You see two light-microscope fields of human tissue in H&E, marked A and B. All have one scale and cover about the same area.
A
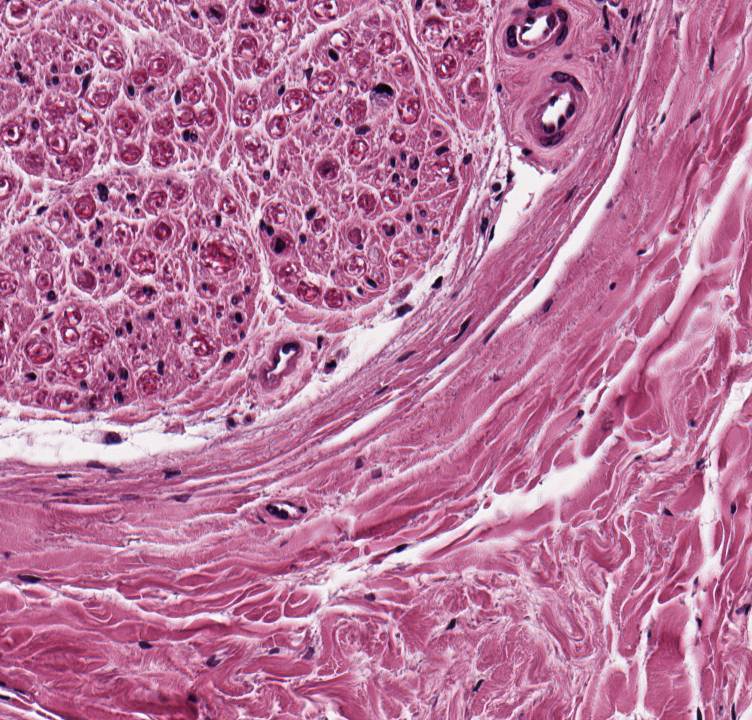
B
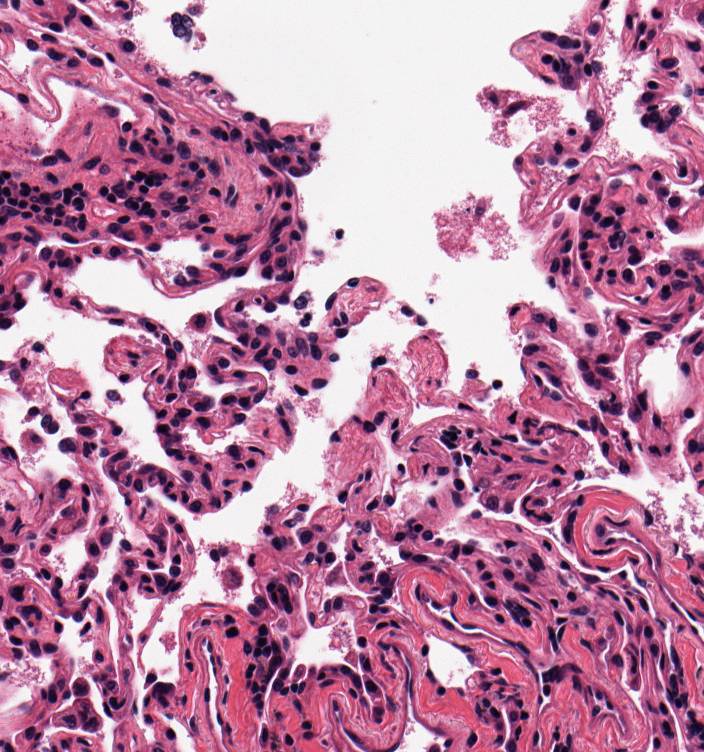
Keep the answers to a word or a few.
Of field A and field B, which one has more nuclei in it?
B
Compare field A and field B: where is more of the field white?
B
